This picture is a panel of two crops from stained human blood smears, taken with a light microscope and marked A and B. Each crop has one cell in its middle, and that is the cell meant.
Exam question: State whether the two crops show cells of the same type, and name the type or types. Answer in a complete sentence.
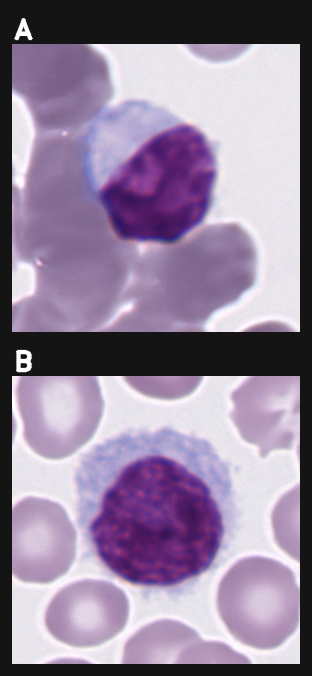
No, within crop A lies a typical lymphocyte, and within crop B lies a hairy cell.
